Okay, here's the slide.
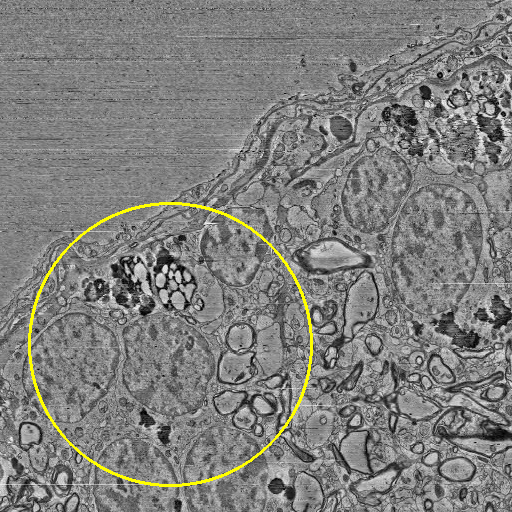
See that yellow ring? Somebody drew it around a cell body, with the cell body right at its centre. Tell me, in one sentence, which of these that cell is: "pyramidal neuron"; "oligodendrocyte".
The cell in the middle of the ring is an oligodendrocyte.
